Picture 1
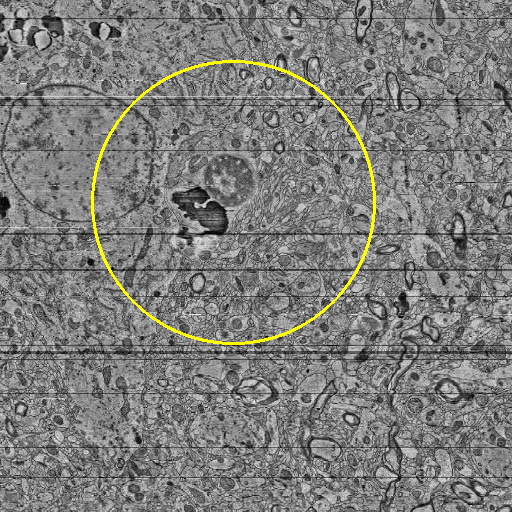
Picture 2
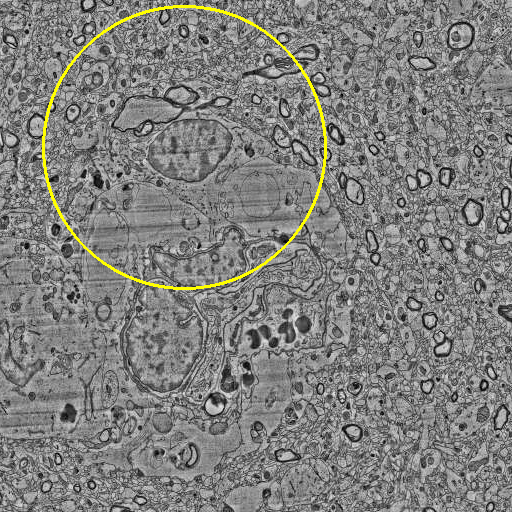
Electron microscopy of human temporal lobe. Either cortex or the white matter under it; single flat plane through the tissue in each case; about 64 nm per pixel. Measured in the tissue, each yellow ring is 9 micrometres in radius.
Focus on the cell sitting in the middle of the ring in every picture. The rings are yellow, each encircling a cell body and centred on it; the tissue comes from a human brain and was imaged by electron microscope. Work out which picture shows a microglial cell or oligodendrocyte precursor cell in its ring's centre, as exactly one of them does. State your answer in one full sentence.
In picture 2, the ring is centred on the cell in question.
